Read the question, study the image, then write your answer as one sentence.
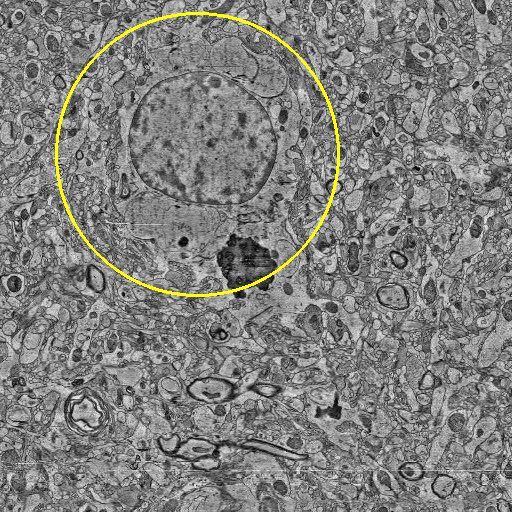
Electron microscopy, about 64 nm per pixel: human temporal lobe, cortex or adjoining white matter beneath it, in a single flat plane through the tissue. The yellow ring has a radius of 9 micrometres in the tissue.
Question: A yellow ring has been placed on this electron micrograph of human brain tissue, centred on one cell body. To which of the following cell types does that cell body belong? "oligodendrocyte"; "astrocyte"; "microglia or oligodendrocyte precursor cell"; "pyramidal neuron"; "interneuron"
That cell body belongs to an astrocyte.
